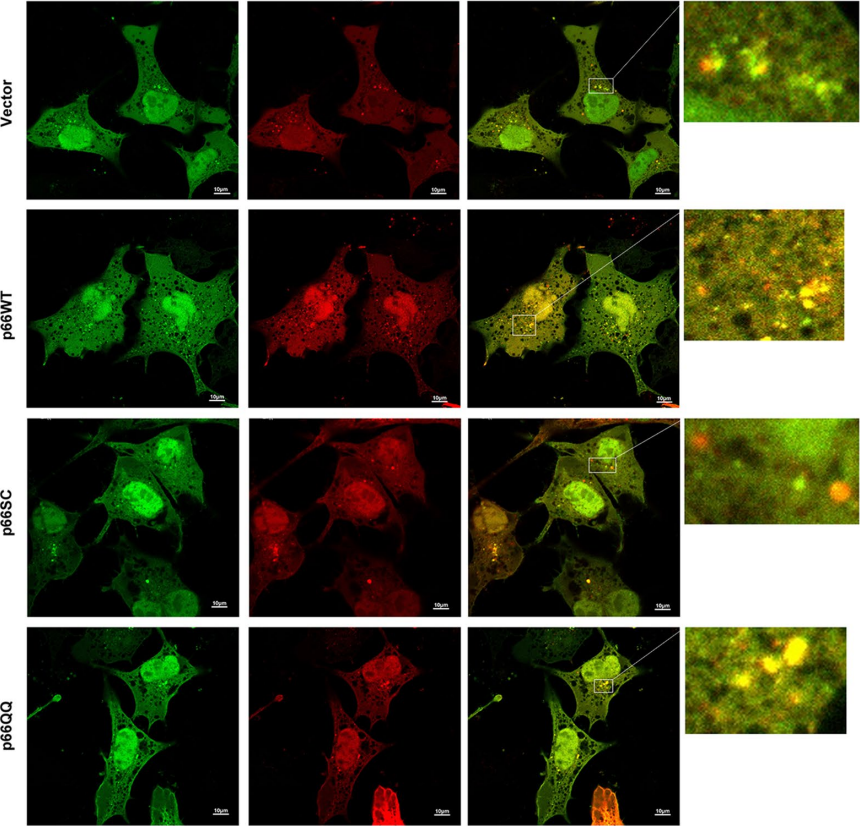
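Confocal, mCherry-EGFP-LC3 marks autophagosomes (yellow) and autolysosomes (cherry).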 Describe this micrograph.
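Flattened, spread cells each show a large oval nucleus with diffuse fluorescence, and cytoplasm filled with fine fluorescent haze, scattered small bright dots and, in some cells, many dark round vacuole-like holes. In the overlay, some cytoplasmic dots are yellow, where green and red coincide, and others are red alone.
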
